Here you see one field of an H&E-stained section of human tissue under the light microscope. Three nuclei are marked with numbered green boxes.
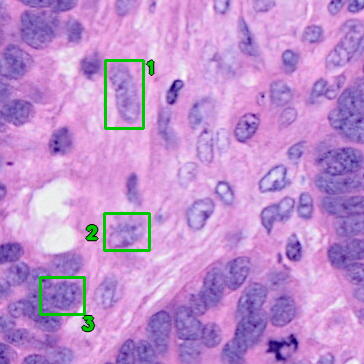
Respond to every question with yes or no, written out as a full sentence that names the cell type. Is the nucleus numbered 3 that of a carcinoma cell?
Yes, on this slide, the cell with number 3 is a carcinoma cell.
